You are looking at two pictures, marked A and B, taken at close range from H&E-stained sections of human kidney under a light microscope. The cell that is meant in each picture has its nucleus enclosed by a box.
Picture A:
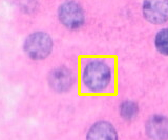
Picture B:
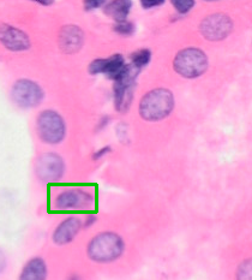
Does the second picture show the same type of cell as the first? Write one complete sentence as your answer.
No. Picture A shows a proximal tubule cell, but picture B shows a collecting duct cell.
